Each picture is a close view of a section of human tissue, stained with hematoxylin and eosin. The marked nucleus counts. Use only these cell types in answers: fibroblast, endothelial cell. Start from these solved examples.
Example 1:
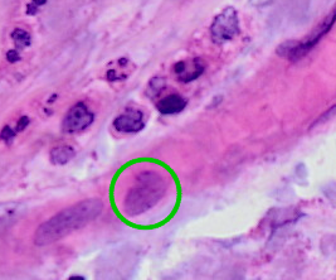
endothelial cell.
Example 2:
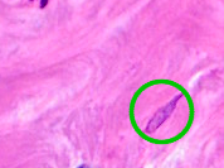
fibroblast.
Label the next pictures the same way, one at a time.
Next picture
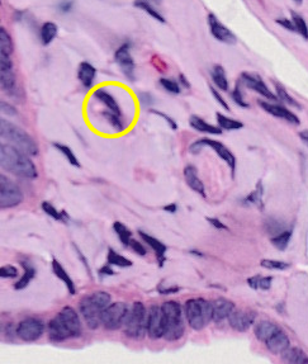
endothelial cell.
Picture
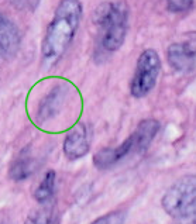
fibroblast.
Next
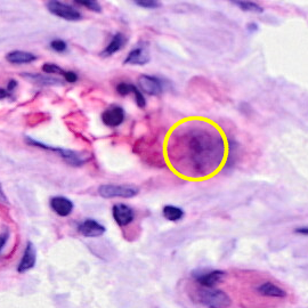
endothelial cell.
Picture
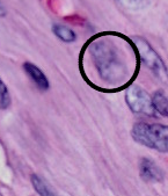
endothelial cell.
